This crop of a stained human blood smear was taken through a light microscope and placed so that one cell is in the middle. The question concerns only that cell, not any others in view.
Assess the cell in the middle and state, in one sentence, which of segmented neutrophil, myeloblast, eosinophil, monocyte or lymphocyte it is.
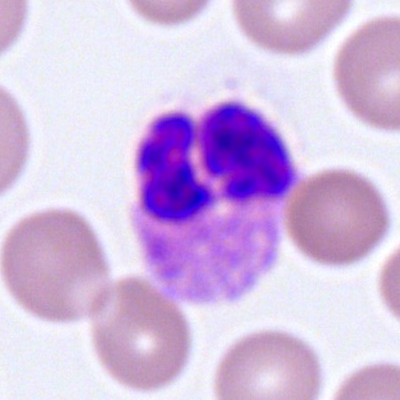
The cell at the centre of the field is a segmented neutrophil.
